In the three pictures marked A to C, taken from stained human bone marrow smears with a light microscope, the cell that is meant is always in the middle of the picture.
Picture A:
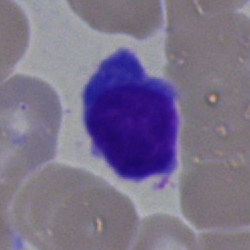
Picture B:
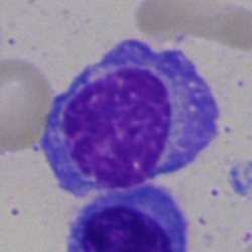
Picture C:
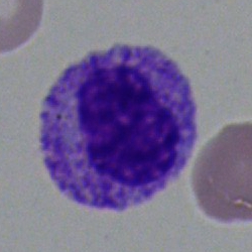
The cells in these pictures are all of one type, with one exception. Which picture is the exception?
C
